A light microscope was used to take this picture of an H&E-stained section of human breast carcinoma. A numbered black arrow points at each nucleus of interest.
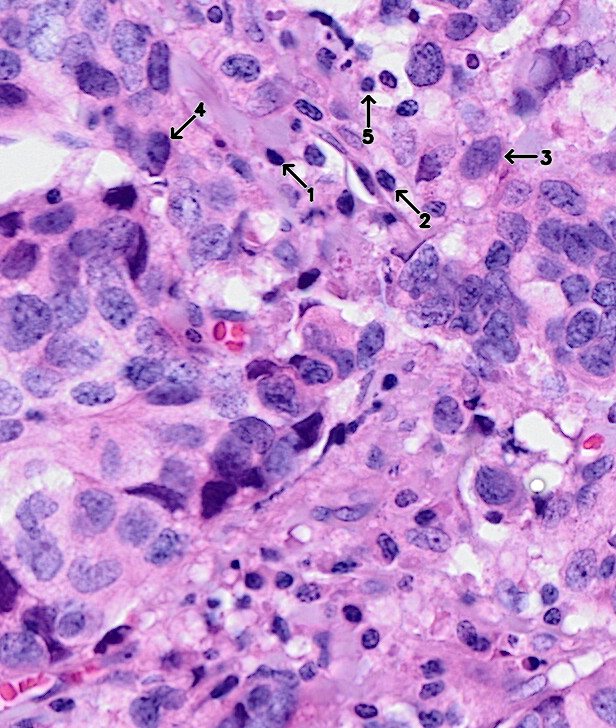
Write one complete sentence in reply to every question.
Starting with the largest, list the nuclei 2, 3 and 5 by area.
From largest to smallest, the order is 3, 2, 5.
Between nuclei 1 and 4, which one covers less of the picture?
Nucleus 1 covers less area, with nucleus 4 about 4 times as large.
